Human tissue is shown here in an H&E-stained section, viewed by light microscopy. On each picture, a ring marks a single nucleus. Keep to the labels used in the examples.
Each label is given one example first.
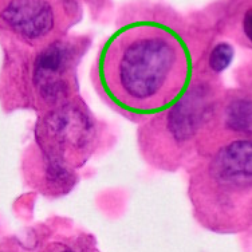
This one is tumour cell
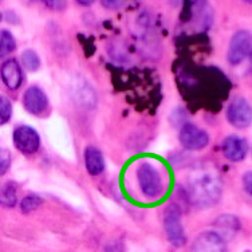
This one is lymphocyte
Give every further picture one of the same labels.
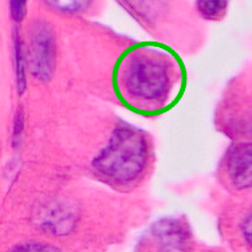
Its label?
tumour cell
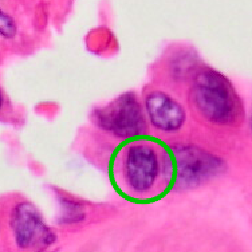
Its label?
tumour cell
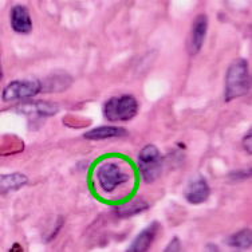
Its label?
lymphocyte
